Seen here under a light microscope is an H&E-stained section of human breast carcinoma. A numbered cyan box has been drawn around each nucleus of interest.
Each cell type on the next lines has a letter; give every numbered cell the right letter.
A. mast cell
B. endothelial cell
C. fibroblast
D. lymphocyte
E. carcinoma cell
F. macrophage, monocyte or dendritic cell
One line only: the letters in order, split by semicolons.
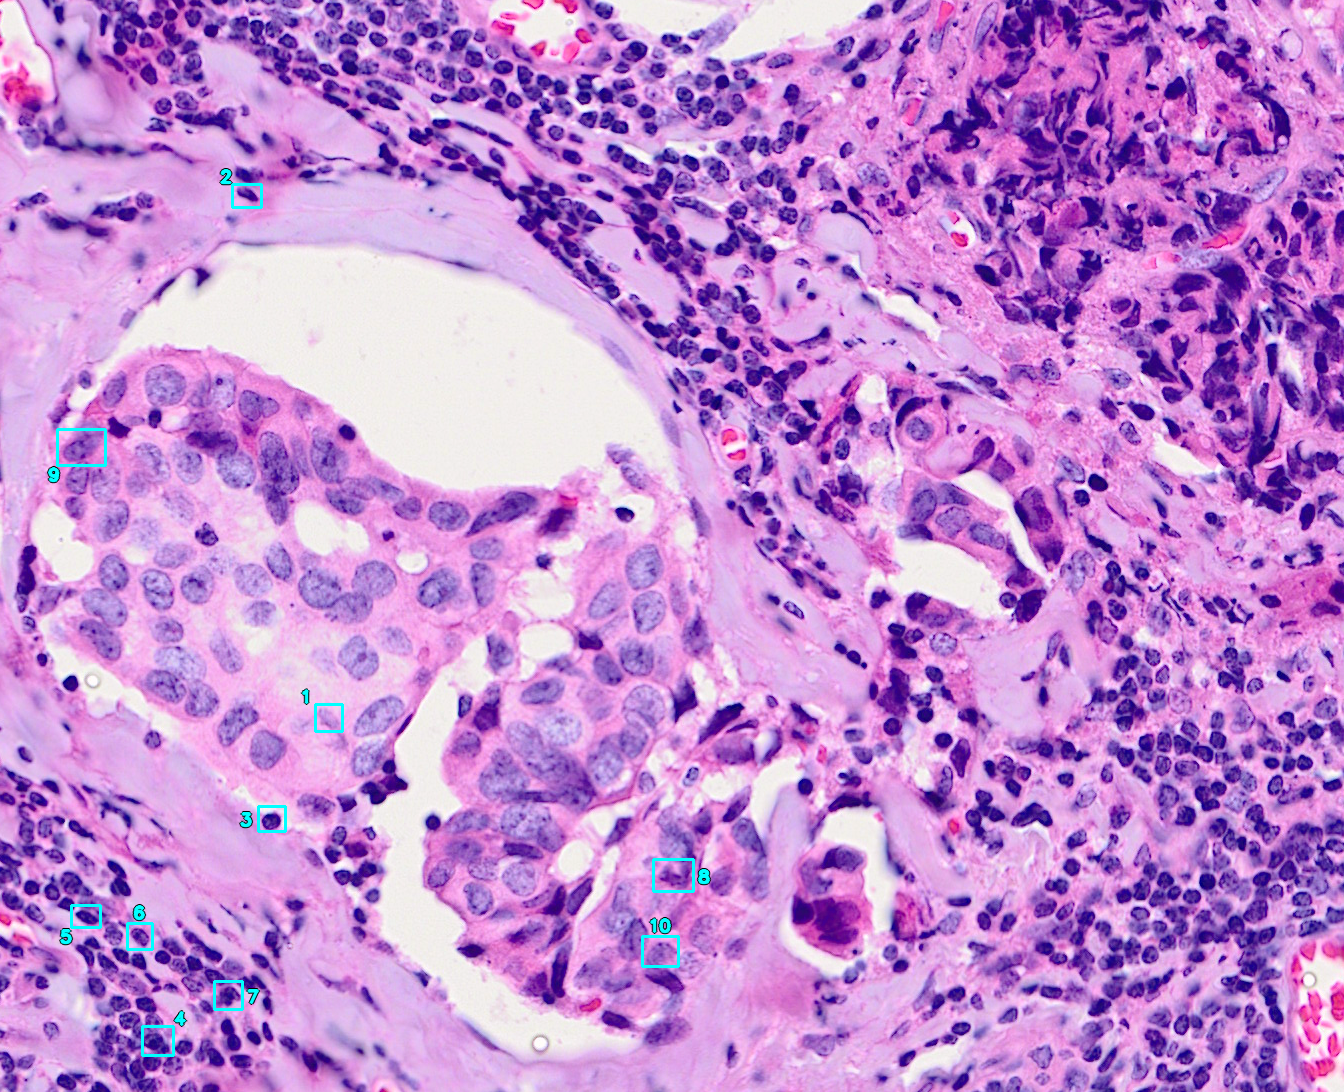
E; D; D; D; D; D; D; E; E; E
